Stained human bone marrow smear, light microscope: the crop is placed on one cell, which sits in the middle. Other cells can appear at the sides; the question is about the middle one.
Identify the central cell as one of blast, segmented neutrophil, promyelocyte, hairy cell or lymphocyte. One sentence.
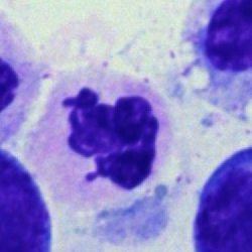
Centrally within this crop lies a segmented neutrophil.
